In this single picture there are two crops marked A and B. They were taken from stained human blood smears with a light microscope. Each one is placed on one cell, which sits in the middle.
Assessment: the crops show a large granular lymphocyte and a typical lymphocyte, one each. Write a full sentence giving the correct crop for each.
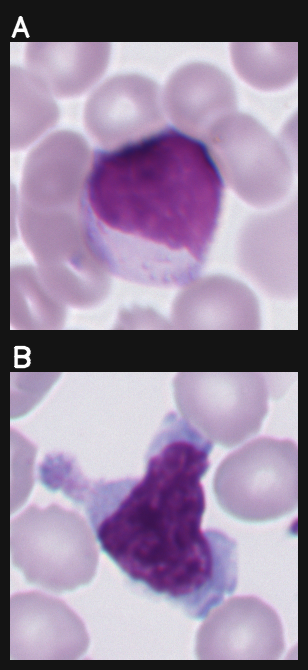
In short, crop A is a large granular lymphocyte and crop B is a typical lymphocyte.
